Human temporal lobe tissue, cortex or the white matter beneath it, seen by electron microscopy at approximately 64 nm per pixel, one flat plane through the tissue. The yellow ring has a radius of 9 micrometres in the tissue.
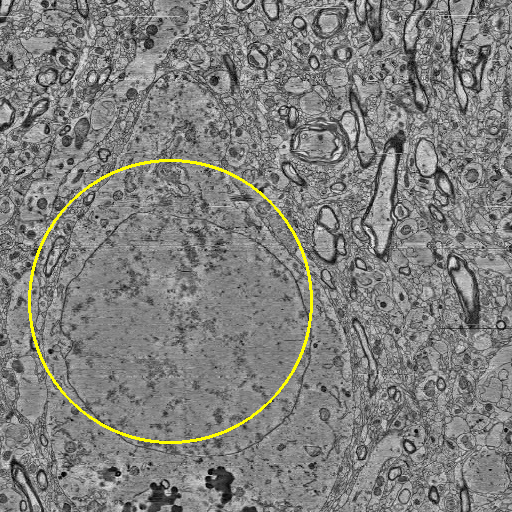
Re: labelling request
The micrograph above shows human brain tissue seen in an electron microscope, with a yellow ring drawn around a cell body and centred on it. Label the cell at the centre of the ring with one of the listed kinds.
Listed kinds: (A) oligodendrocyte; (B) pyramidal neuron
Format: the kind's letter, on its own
B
